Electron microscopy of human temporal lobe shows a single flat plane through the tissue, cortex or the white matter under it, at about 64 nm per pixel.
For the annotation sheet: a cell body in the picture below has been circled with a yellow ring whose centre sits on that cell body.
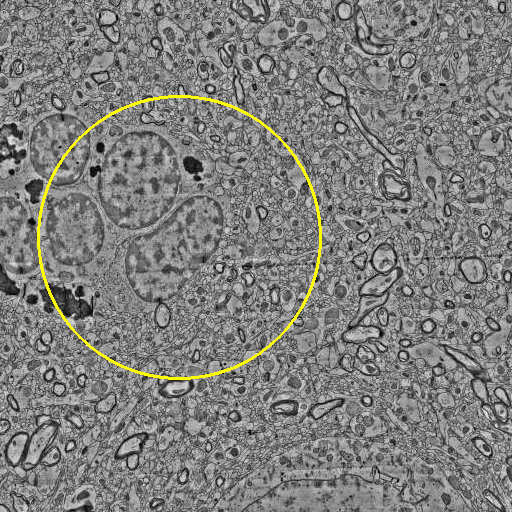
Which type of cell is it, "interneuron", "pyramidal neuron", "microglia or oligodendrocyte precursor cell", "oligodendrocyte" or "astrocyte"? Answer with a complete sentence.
The circled cell is an oligodendrocyte.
